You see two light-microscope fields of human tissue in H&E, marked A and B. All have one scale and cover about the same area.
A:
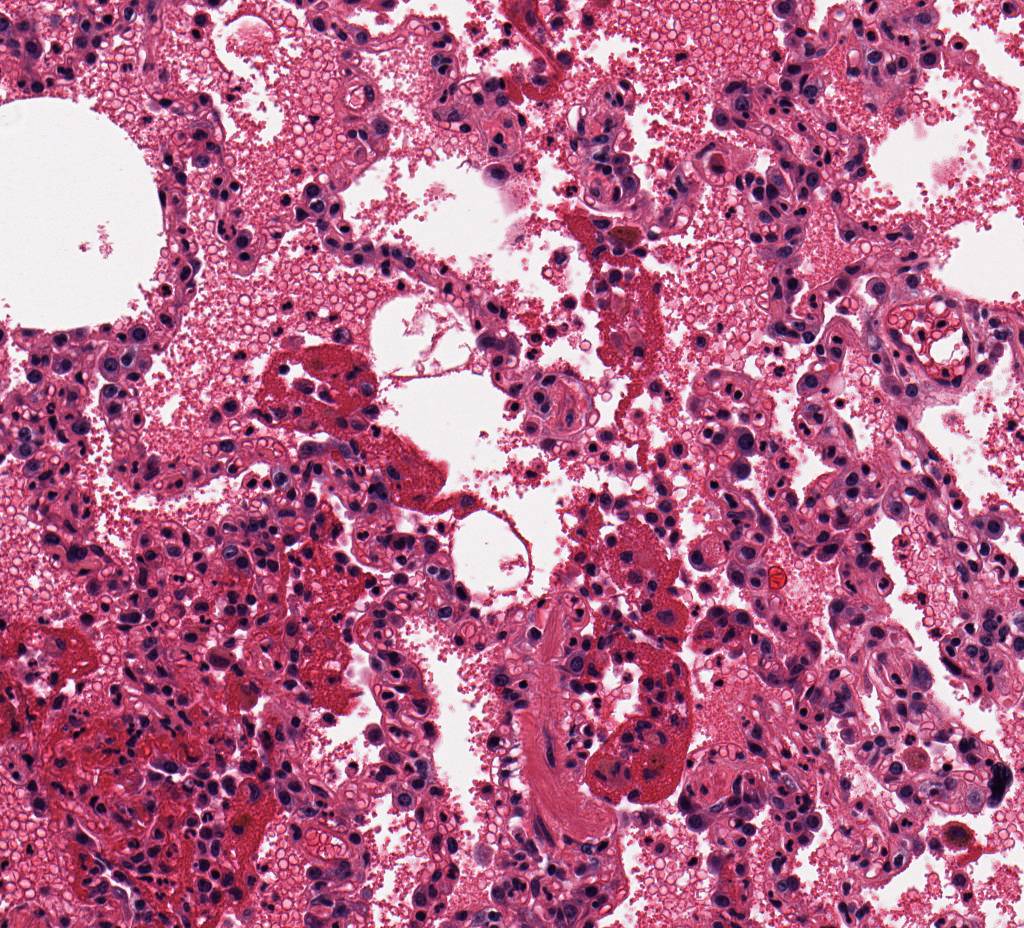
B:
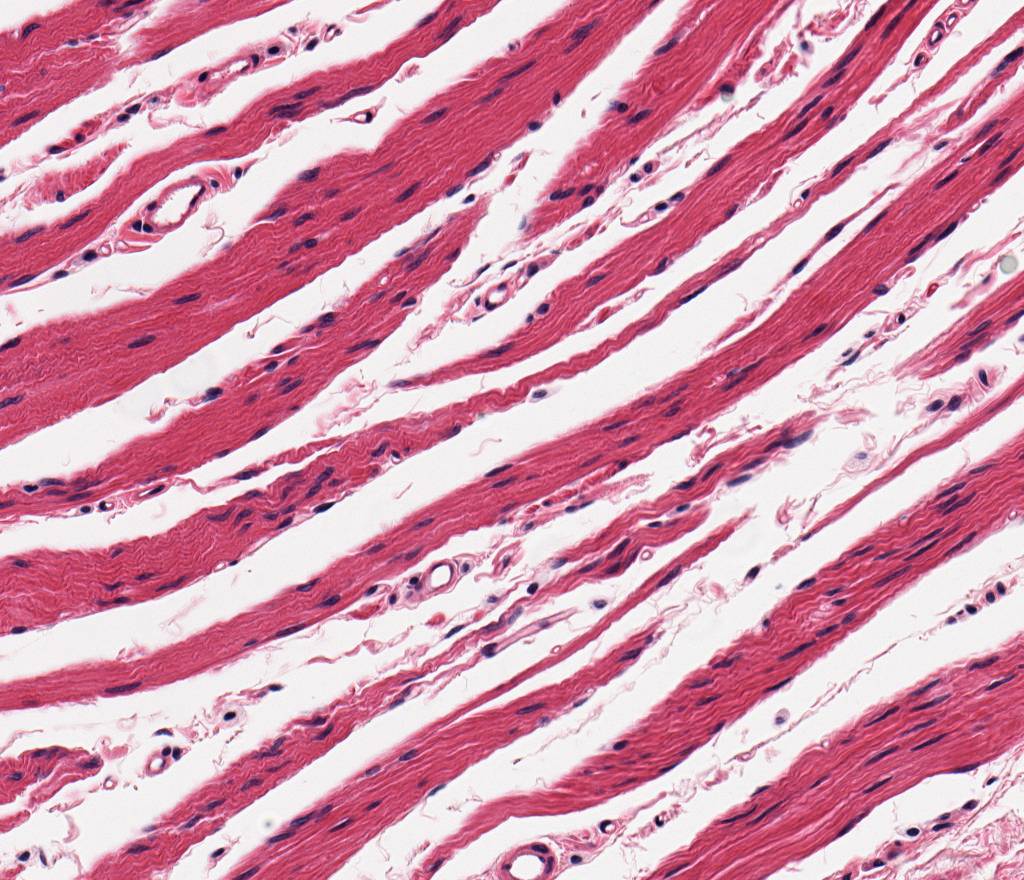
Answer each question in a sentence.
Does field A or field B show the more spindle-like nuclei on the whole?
Longer, more slender nuclei lie in field B.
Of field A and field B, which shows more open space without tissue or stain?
Field B has more white space.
